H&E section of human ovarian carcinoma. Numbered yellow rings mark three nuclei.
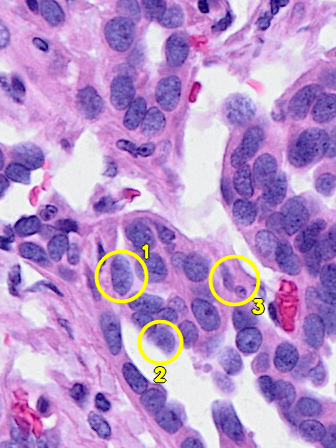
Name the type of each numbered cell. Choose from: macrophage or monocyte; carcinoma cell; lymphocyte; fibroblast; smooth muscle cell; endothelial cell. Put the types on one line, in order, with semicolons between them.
carcinoma cell; carcinoma cell; macrophage or monocyte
